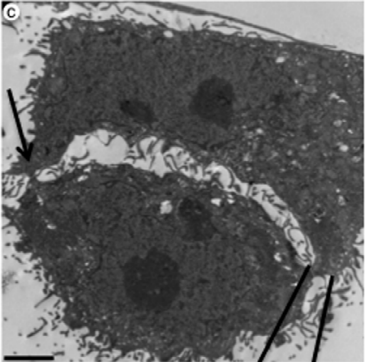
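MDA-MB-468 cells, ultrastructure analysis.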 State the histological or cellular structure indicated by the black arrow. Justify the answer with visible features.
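Two cells lie closely apposed, separated by a narrow pale cleft. Many fine membrane projections line the cleft between them. The arrow points to where the two cell surfaces meet.
Cell contacts.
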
